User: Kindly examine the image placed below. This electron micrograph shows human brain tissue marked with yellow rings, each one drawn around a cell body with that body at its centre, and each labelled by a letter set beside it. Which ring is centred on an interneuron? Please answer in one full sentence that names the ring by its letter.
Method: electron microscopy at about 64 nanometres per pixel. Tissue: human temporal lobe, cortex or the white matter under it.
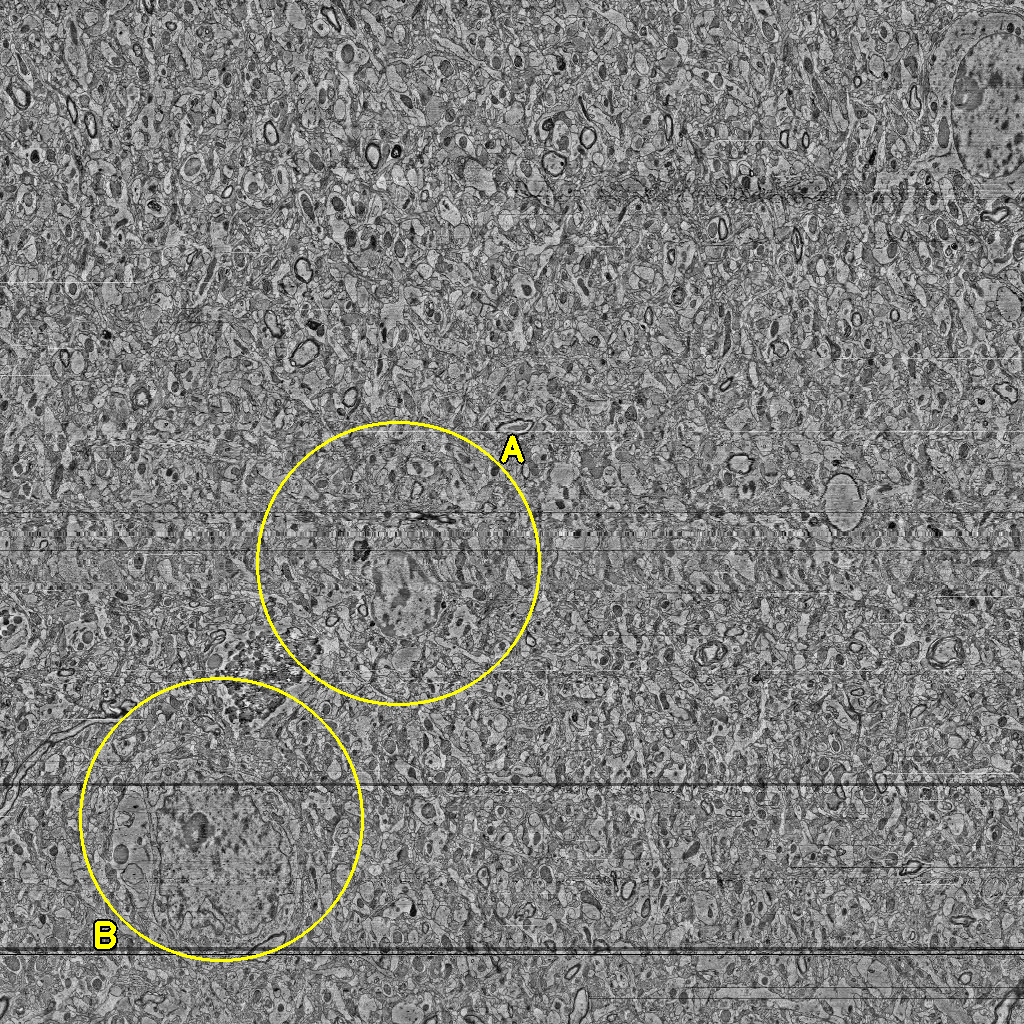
Ring B is the one drawn around the cell asked for.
